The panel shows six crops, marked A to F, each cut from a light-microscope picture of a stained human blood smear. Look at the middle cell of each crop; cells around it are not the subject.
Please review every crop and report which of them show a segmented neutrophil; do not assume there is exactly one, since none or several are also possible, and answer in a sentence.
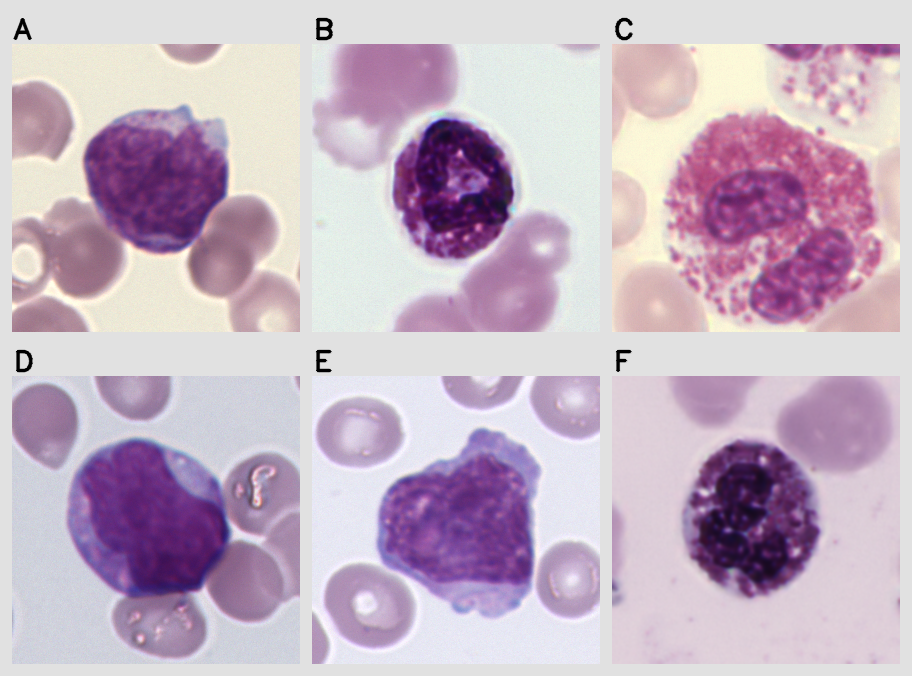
In the whole set, no crop shows a segmented neutrophil.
